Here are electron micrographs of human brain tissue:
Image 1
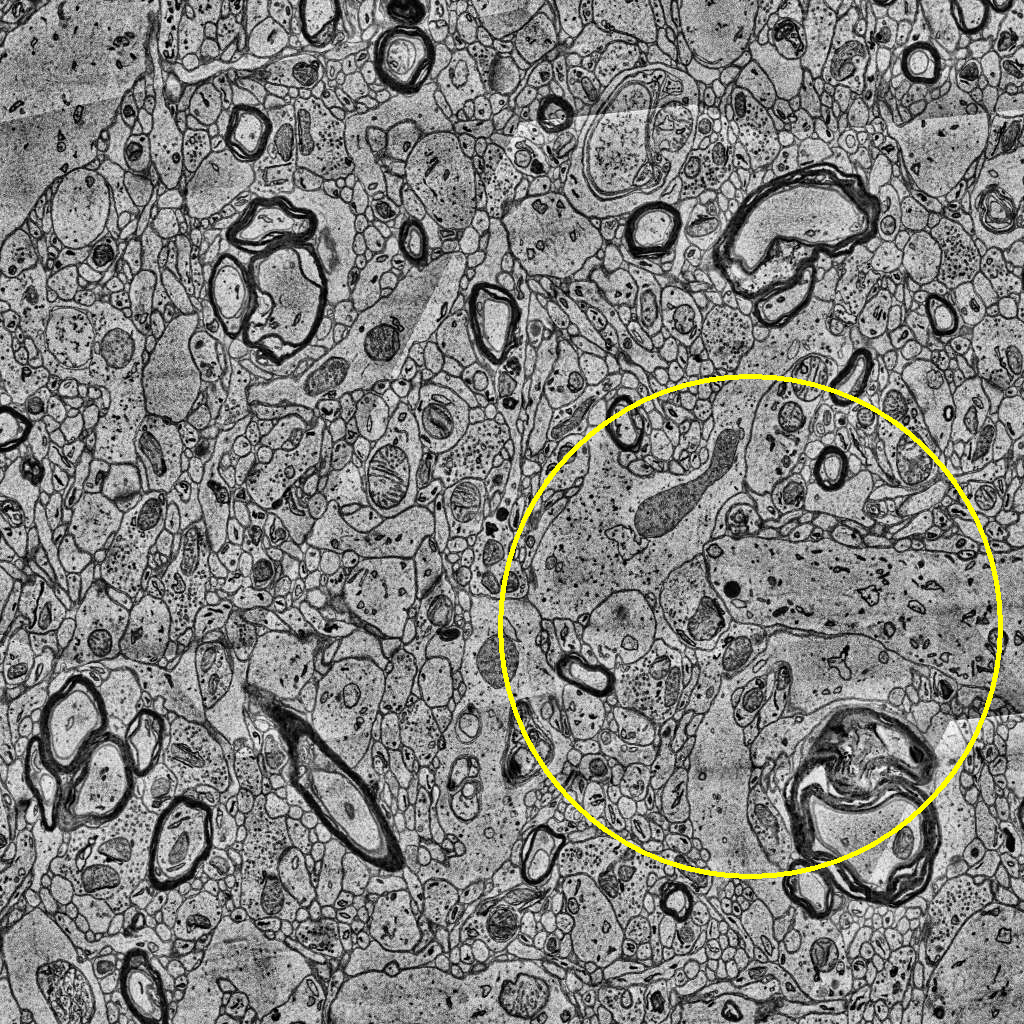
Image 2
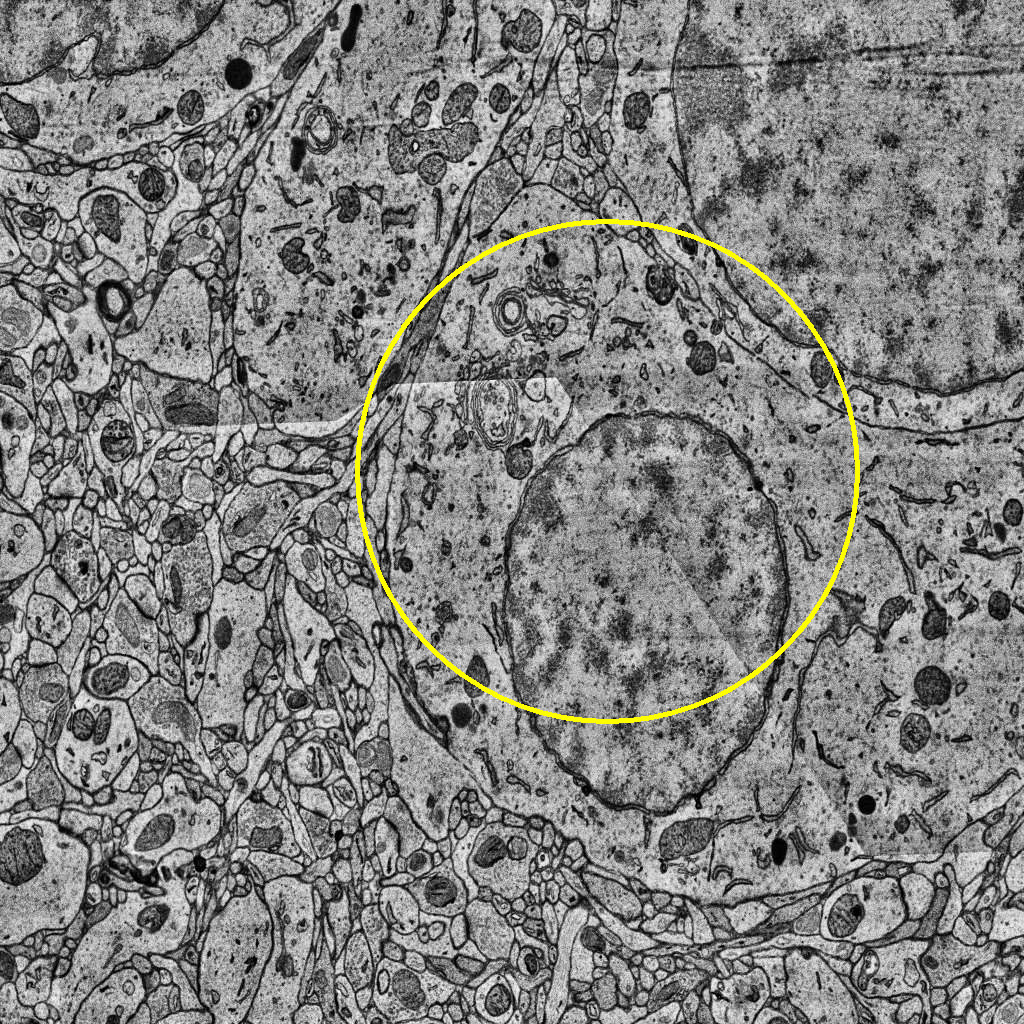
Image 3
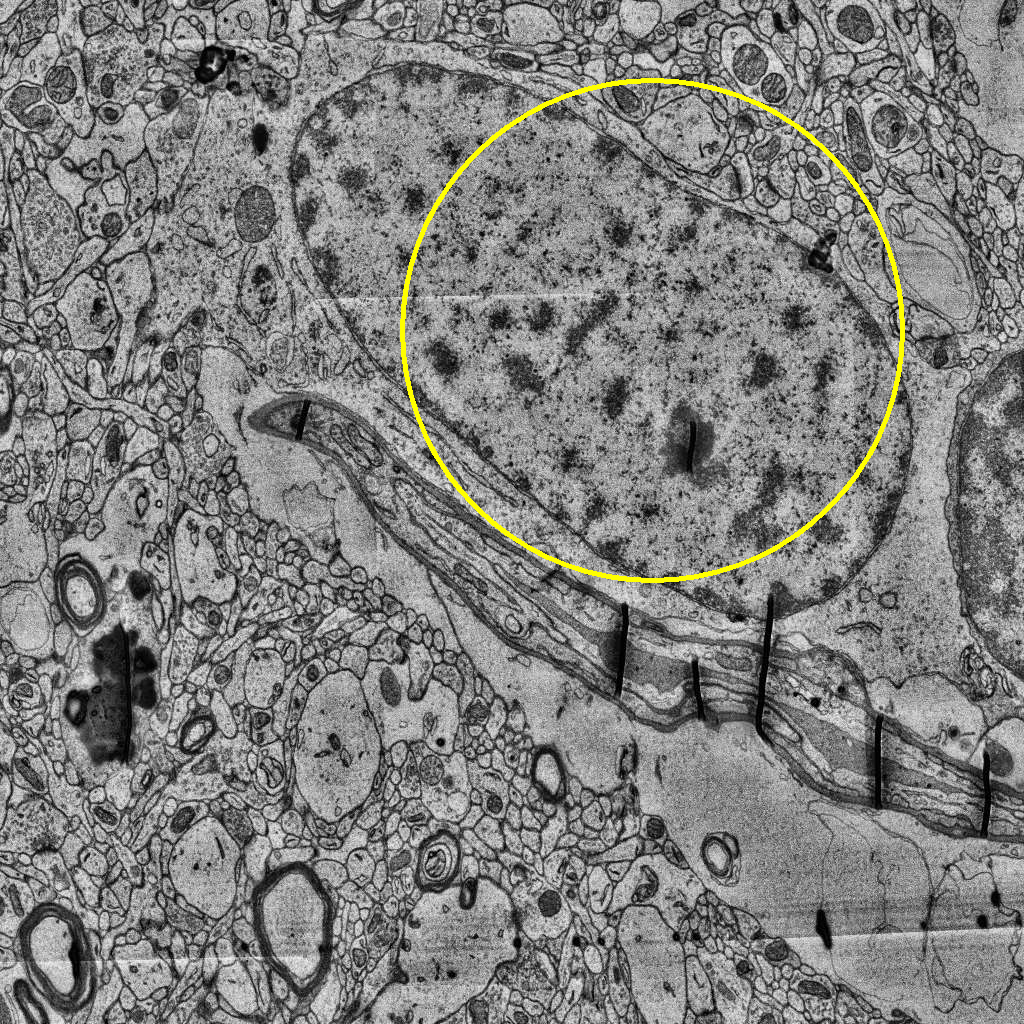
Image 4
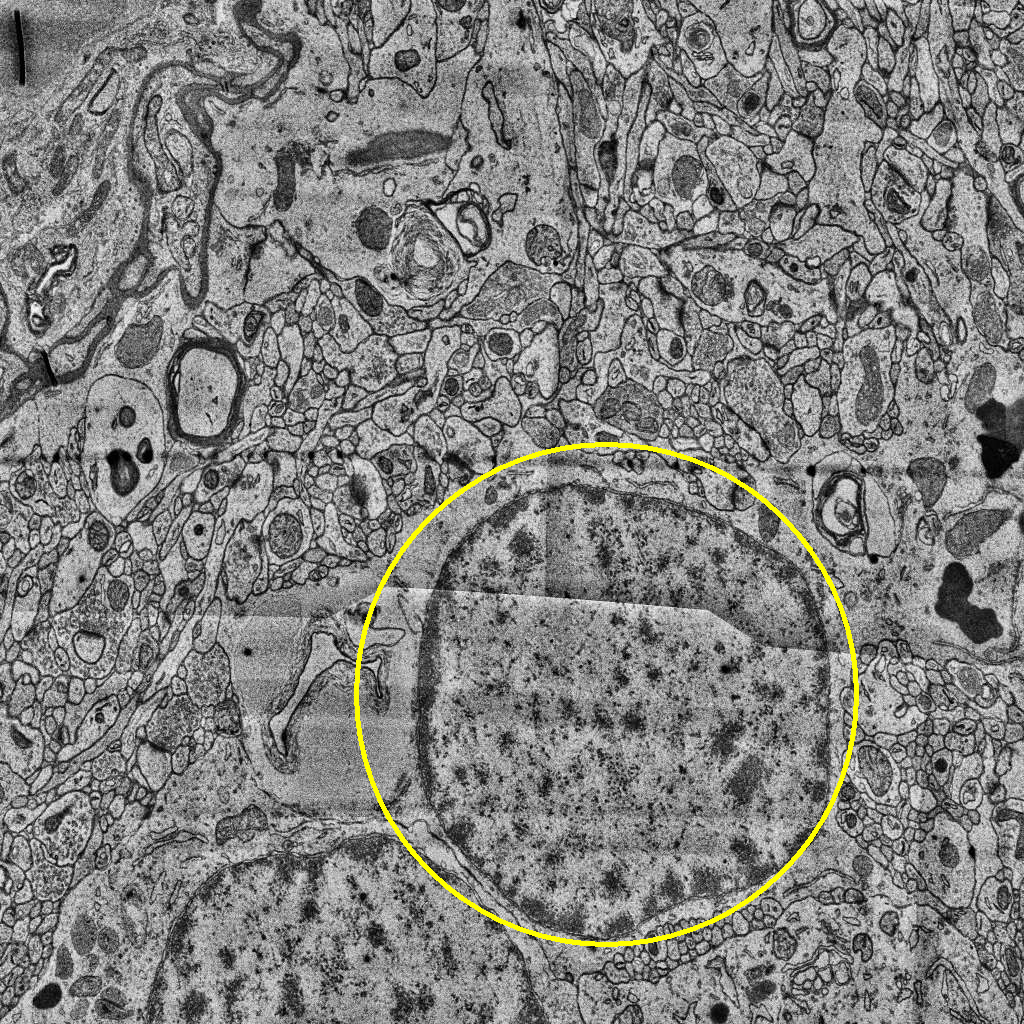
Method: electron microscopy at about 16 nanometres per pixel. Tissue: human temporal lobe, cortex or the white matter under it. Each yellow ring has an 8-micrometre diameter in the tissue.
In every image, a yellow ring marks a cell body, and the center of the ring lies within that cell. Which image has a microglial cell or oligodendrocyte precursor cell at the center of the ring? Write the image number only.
3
